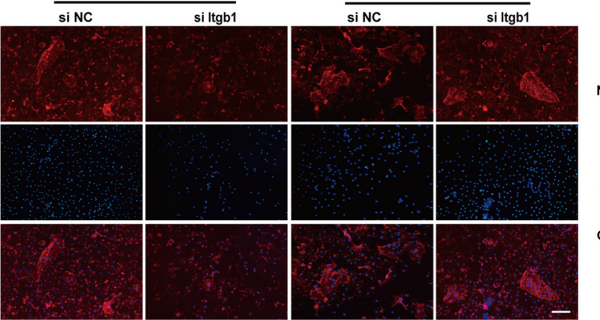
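Inside that band the red is paler and more diffuse, so each giant cell looks like an irregular outlined sheet. Around them lie many small cells, each showing as a small patch of red or as a single small blue nucleus in the nuclear row. The fields differ in how many of these large outlined cells they hold: some fields show several, while others show mostly small cells.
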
